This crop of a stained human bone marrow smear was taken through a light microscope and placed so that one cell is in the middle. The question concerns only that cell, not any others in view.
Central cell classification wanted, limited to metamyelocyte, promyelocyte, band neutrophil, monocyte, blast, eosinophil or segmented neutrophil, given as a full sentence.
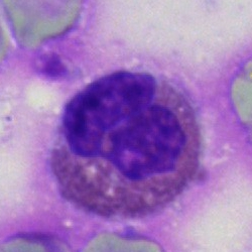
The cell featured at the centre of this crop is an eosinophil.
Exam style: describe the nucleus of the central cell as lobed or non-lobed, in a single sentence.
In short, this nucleus is segmented into two or more parts.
